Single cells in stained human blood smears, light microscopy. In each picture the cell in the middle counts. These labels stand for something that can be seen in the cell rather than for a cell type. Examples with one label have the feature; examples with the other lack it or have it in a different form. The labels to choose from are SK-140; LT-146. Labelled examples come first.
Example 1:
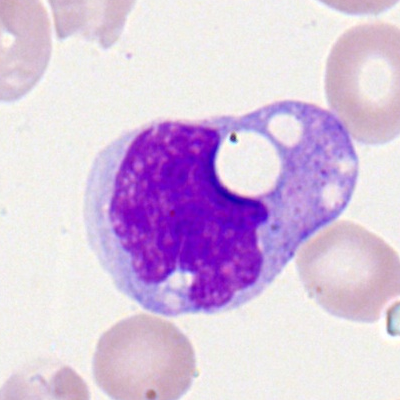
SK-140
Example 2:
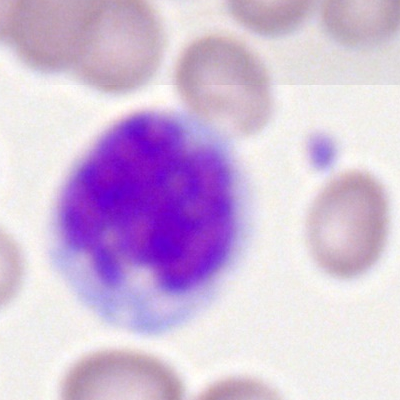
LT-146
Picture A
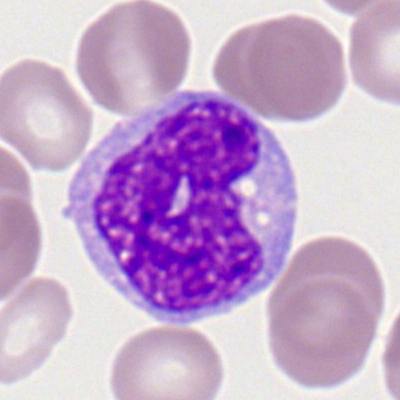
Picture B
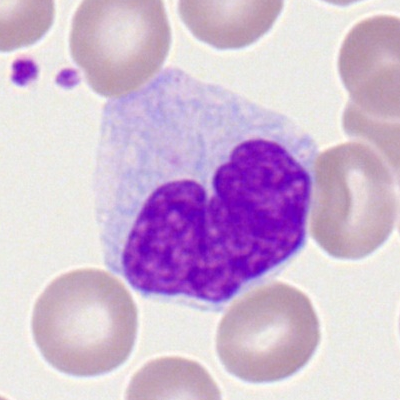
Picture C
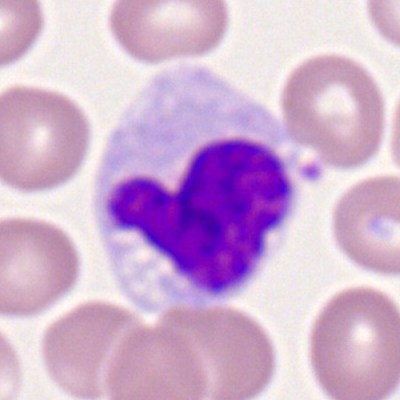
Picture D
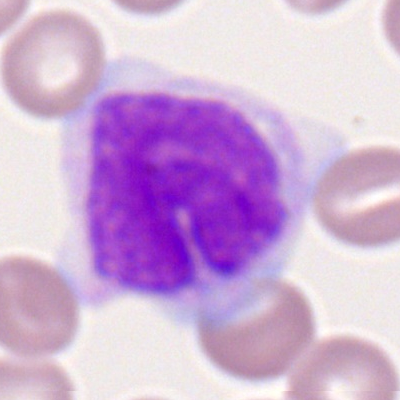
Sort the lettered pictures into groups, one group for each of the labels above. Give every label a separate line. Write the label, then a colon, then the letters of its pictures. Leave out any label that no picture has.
SK-140: B, C
LT-146: A, D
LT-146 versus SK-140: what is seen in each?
Seen in LT-146: scant cytoplasm; seen in SK-140: abundant cytoplasm.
